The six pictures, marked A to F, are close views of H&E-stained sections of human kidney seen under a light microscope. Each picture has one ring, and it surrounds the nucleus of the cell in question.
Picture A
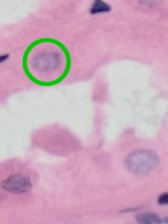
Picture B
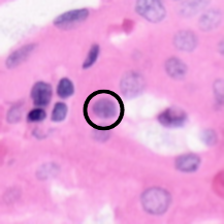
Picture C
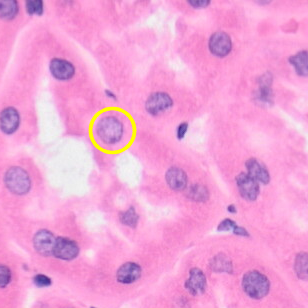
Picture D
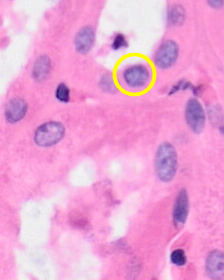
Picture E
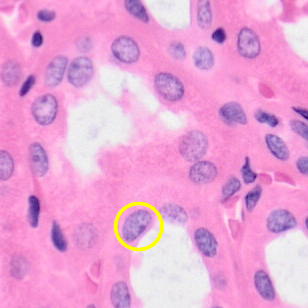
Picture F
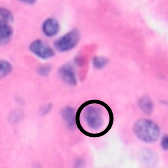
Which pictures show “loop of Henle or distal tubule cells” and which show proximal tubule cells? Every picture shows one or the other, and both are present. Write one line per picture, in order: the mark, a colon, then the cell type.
A: proximal tubule cell
B: loop of Henle or distal tubule cell
C: proximal tubule cell
D: loop of Henle or distal tubule cell
E: loop of Henle or distal tubule cell
F: loop of Henle or distal tubule cell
